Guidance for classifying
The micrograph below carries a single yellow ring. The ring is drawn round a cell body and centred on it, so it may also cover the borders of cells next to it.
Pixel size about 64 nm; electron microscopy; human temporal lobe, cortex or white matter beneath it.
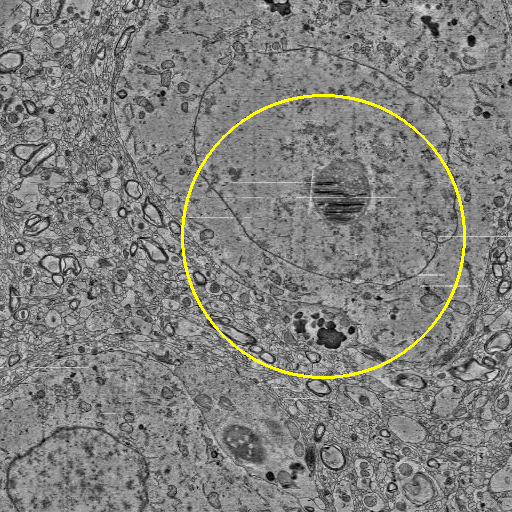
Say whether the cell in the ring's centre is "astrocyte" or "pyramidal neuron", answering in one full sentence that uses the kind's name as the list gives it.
Within the yellow ring, a pyramidal neuron is the cell whose body sits at the centre.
